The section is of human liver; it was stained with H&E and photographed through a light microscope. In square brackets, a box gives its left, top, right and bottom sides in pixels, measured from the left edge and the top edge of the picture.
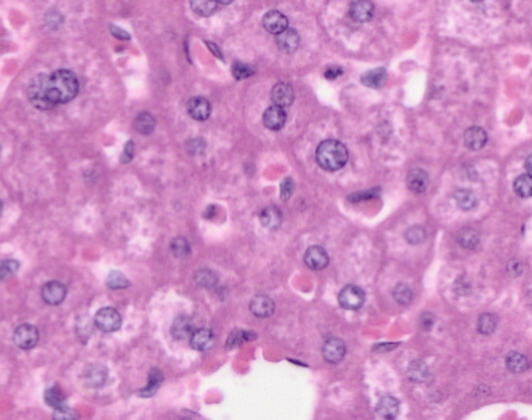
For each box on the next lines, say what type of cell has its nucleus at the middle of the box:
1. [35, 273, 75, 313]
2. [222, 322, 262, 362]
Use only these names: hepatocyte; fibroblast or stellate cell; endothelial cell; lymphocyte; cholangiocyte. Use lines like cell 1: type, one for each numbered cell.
cell 1: hepatocyte
cell 2: fibroblast or stellate cell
